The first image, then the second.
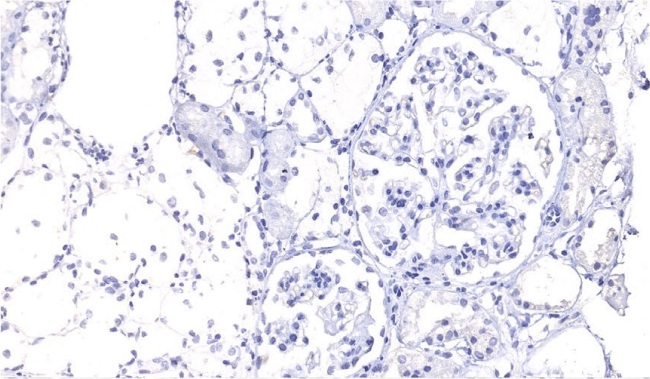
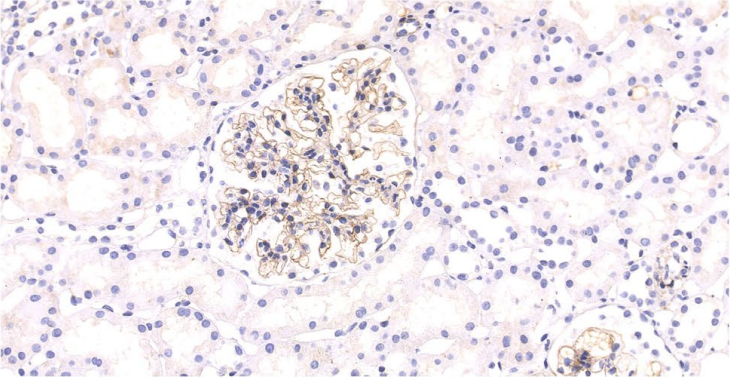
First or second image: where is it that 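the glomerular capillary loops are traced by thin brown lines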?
The second image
